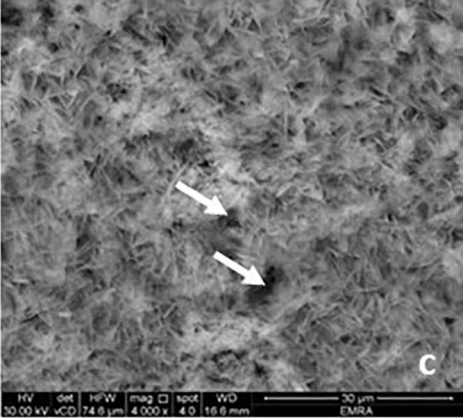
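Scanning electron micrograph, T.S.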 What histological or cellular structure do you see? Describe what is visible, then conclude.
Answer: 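The surface is covered by a felt of fine thin spiky elements. Elements radiate in many directions forming tufts. So: needle shaped crystals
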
